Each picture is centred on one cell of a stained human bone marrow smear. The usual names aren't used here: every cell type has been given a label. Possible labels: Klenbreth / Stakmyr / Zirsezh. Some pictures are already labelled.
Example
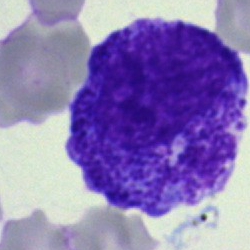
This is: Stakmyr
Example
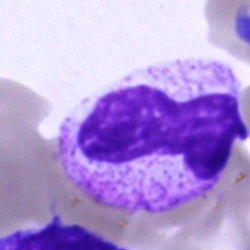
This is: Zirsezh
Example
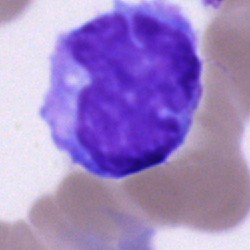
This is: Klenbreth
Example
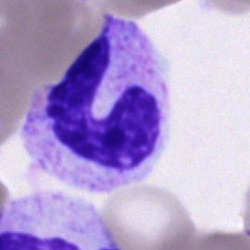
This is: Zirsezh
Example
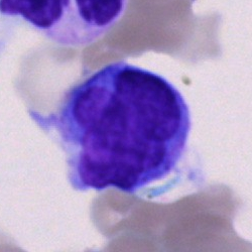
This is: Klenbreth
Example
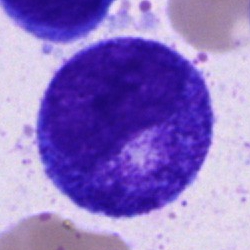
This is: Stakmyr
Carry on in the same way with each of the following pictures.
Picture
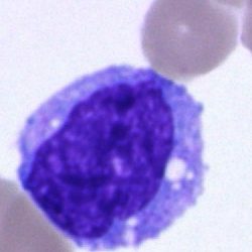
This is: Klenbreth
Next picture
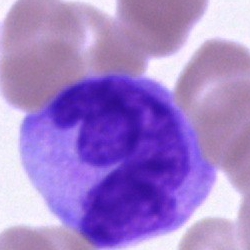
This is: Klenbreth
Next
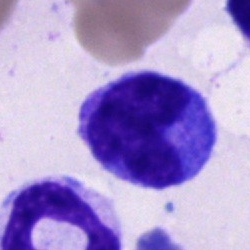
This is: Klenbreth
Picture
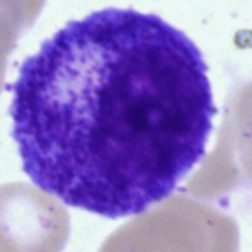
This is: Stakmyr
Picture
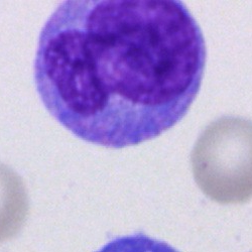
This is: Klenbreth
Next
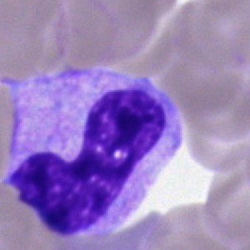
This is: Zirsezh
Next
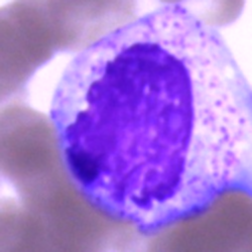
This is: Stakmyr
